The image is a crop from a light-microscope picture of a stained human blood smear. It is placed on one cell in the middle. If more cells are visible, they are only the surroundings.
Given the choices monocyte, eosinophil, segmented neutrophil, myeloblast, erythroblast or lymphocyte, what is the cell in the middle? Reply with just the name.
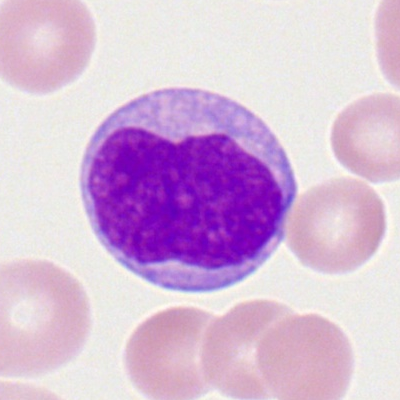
monocyte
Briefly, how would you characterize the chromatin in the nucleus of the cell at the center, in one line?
The chromatin in this nucleus is coarsely clumped.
